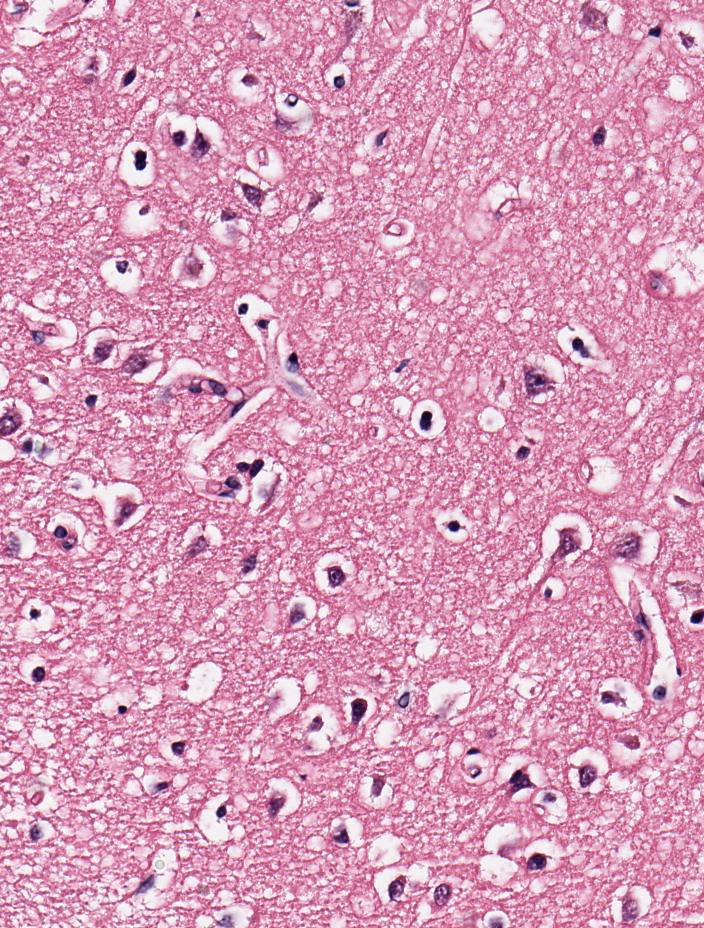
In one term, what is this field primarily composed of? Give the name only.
cerebral cortex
